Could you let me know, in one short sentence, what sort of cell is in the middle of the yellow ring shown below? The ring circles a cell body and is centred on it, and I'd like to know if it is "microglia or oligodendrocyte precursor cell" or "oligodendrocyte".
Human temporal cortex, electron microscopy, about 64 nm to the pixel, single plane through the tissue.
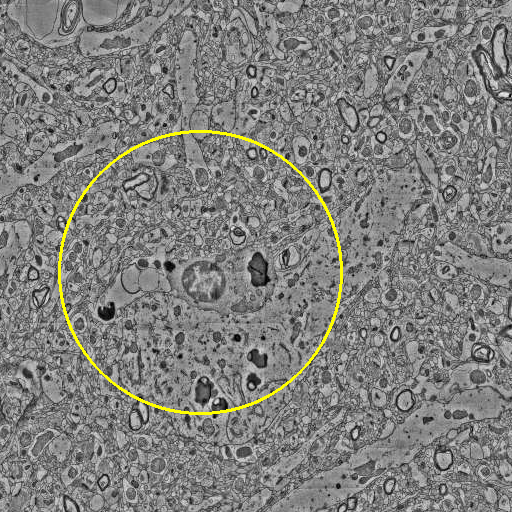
The ring circles the cell body of an oligodendrocyte.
